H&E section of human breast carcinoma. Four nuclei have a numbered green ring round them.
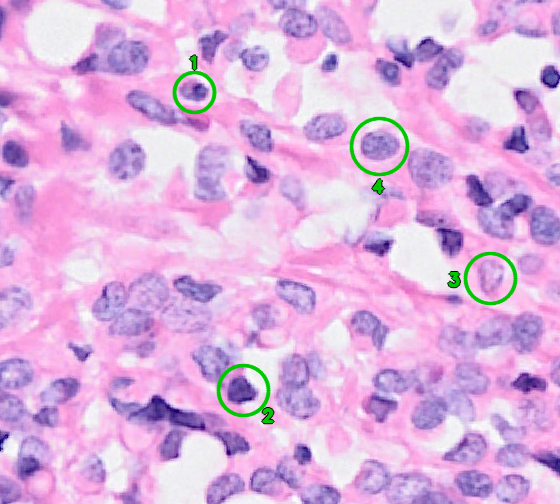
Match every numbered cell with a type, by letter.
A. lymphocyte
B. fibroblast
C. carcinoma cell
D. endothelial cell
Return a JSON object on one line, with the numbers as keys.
{"1": "A", "2": "C", "3": "C", "4": "C"}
